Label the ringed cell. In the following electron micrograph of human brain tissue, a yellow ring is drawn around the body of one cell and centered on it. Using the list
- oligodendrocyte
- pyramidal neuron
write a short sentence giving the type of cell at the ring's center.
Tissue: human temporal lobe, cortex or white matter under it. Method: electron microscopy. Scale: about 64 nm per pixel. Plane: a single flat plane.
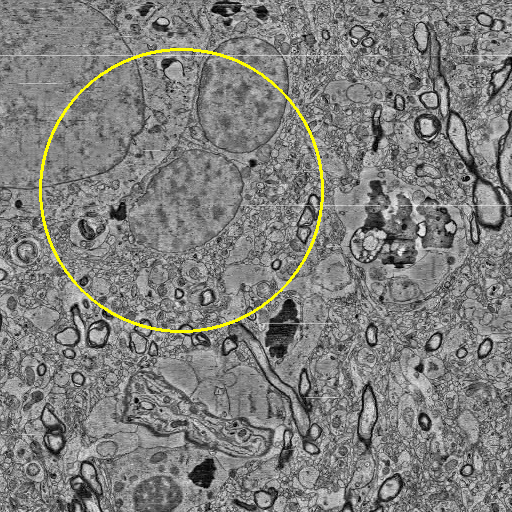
The cell body at the ring's center is that of an oligodendrocyte.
